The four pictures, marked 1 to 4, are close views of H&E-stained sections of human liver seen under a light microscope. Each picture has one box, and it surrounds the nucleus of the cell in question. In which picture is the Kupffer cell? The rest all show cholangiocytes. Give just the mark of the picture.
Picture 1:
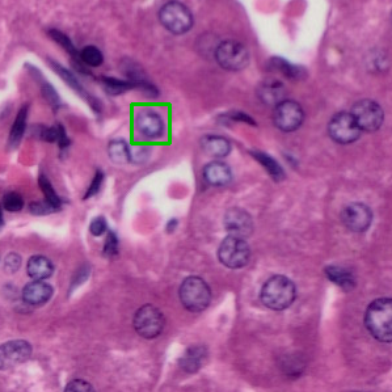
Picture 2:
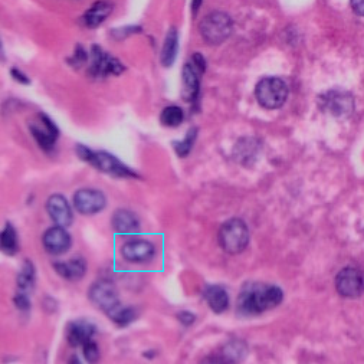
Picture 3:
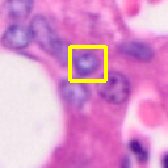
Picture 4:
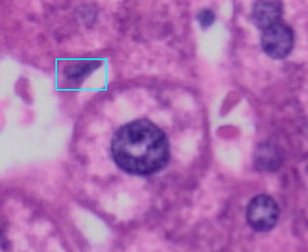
4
